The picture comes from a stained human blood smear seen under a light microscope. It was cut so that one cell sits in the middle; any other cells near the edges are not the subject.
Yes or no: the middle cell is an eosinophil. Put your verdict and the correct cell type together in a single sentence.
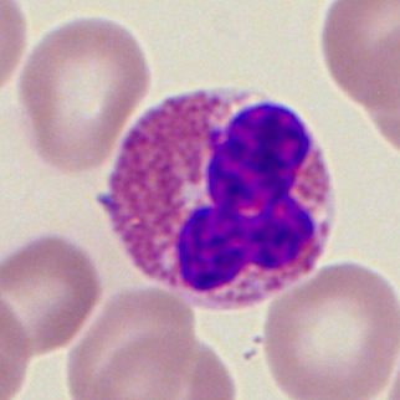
Yes, shown in the middle of the crop is an eosinophil.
